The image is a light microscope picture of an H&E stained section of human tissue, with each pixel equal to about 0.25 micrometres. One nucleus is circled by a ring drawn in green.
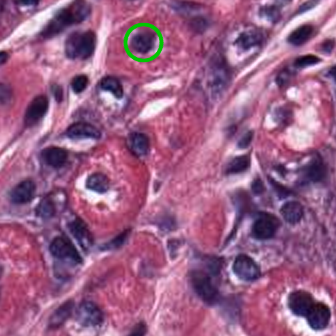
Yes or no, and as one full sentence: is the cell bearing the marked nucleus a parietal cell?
Yes, in this field of view the marked nucleus belongs to a parietal cell.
